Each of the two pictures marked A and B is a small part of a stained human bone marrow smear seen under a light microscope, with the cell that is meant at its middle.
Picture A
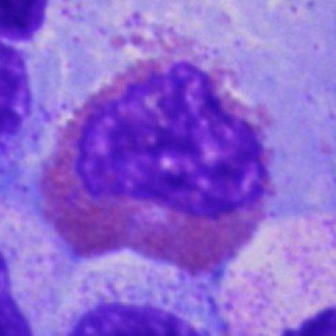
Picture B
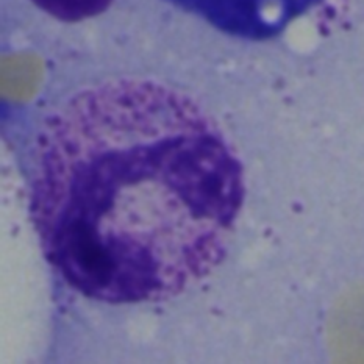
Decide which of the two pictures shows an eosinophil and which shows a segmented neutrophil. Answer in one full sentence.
Picture A is of an eosinophil, and picture B is of a segmented neutrophil.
